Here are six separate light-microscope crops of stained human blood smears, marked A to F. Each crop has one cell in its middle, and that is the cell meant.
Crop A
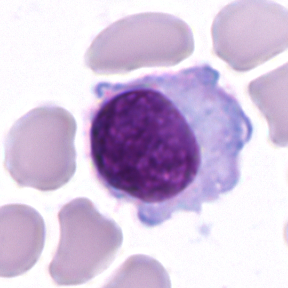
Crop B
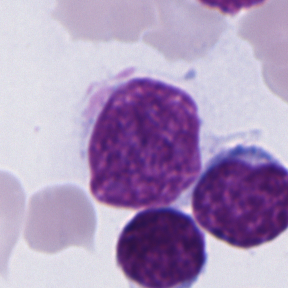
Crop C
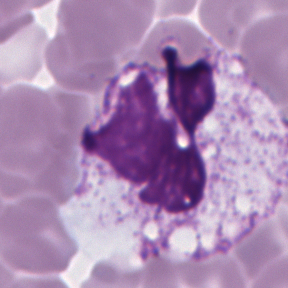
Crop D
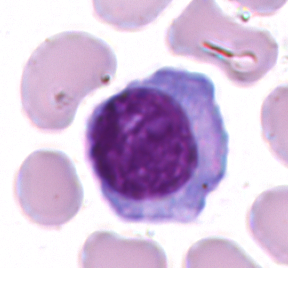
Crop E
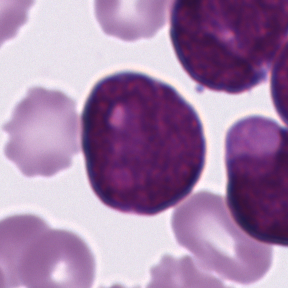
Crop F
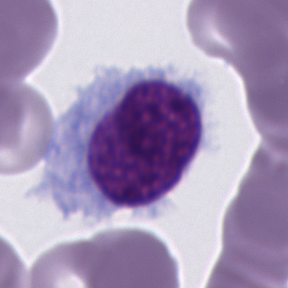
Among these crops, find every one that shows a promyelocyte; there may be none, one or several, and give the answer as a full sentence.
When all the crops are reviewed, none is found to show a promyelocyte.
